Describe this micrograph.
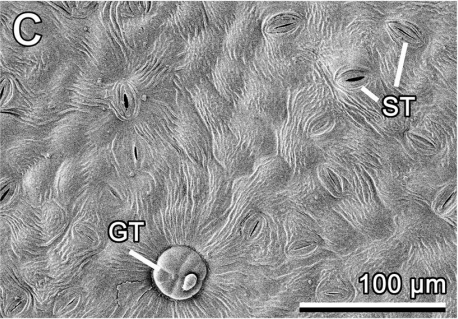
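This is a general view of a leaf epidermis seen from the surface, with many low, rounded domes of epidermal cells covered by a wrinkled cuticle. Scattered among them are several small, elongated pores, each framed by a pair of lip-like guard cells; these are stomata. Fine ridges of the cuticle, the cuticular folds, wind over the cells and gather around the stomata. Near the lower edge sits a single round, flattened, disc-like structure set slightly into the surface, a glandular trichome, with folds radiating out from it. The view thus shows the different surface features side by side: pavement cells, stomata, cuticular folds and a glandular trichome.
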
